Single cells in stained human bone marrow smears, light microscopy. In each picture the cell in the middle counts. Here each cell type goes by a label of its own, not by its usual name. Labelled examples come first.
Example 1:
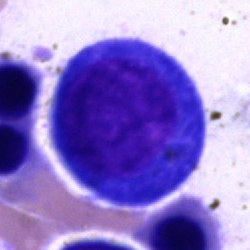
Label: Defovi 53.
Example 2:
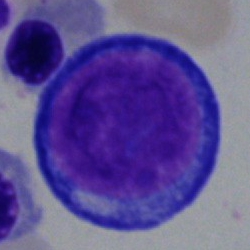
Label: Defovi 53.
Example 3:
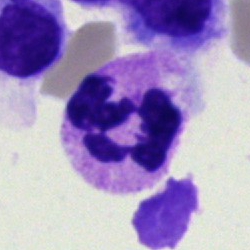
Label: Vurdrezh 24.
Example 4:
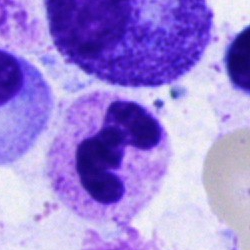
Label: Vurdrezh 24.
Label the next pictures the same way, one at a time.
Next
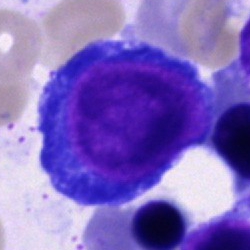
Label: Defovi 53.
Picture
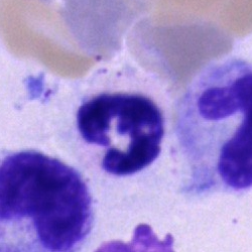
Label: Vurdrezh 24.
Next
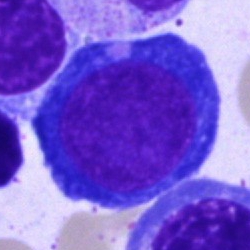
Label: Defovi 53.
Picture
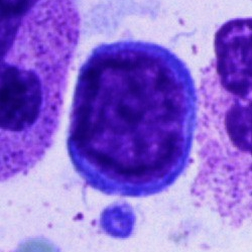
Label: Defovi 53.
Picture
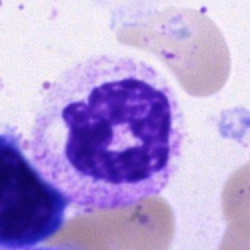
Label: Vurdrezh 24.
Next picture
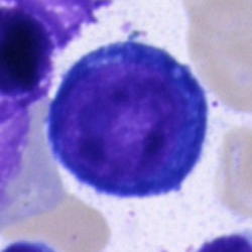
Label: Defovi 53.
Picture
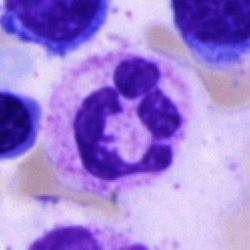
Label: Vurdrezh 24.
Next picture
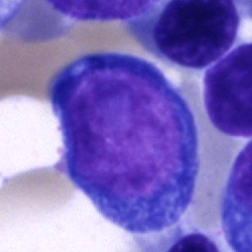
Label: Defovi 53.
